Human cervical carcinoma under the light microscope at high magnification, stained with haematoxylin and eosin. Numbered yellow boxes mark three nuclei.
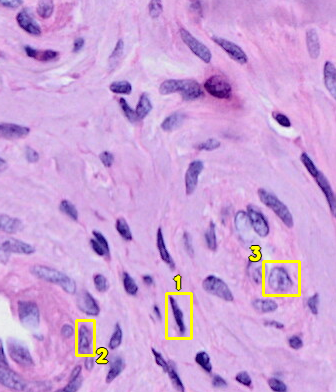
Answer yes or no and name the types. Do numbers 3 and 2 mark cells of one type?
No, cell 3 is an endothelial cell, and cell 2, on the other hand, is a smooth muscle cell.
